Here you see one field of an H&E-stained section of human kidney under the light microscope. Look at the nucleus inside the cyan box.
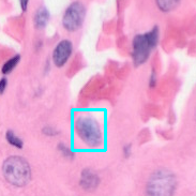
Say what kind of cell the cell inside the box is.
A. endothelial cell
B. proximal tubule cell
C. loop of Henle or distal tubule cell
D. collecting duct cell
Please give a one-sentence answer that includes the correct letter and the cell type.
The item is answered by option A: the cell inside the box is an endothelial cell.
